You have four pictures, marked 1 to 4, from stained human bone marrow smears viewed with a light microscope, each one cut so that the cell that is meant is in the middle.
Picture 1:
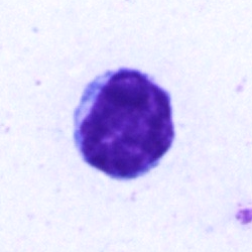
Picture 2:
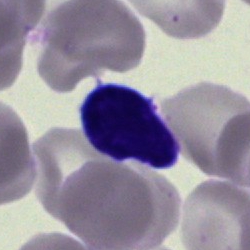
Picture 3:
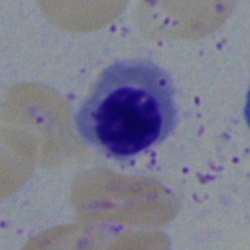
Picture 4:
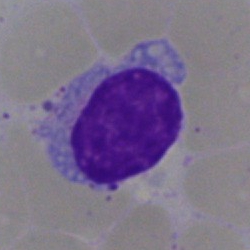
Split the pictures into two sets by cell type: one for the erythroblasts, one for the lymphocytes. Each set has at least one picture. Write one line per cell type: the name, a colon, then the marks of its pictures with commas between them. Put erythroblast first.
erythroblast: 3
lymphocyte: 1, 2, 4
